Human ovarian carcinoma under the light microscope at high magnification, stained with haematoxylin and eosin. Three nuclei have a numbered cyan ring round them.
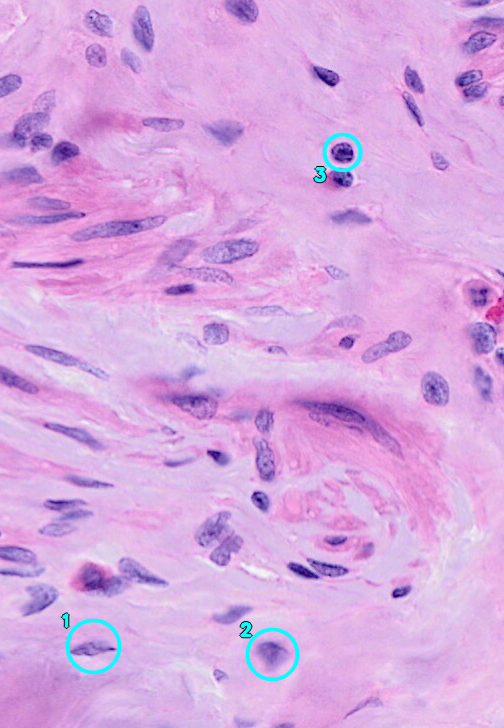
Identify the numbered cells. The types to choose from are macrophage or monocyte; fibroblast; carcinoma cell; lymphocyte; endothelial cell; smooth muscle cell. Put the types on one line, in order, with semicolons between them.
fibroblast; fibroblast; lymphocyte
